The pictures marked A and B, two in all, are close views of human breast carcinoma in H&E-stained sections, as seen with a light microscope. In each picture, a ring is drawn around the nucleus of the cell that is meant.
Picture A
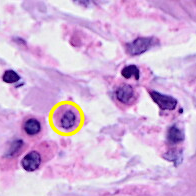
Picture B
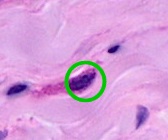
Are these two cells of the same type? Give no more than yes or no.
yes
